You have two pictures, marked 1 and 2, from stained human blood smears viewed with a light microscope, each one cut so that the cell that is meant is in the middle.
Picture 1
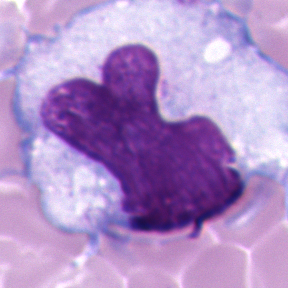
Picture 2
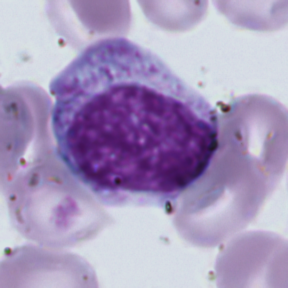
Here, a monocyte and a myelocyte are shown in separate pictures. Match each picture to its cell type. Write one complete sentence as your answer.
It is picture 1 that shows a monocyte, and picture 2 that shows a myelocyte.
